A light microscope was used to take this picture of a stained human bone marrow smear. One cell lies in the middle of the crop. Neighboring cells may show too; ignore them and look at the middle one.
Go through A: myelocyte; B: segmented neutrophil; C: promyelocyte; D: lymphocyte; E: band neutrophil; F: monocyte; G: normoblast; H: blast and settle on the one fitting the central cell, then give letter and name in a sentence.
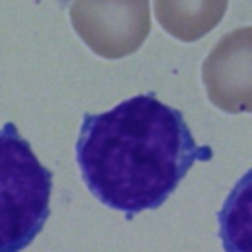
The cell in the middle is correctly identified as a lymphocyte in option D.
